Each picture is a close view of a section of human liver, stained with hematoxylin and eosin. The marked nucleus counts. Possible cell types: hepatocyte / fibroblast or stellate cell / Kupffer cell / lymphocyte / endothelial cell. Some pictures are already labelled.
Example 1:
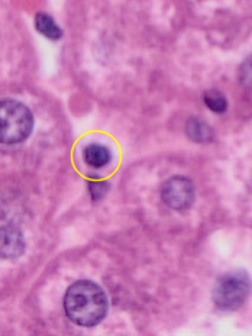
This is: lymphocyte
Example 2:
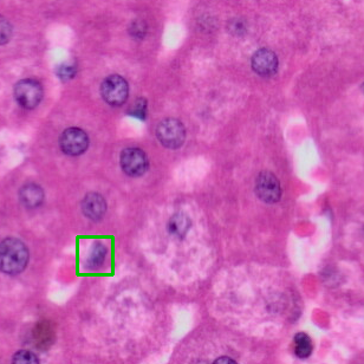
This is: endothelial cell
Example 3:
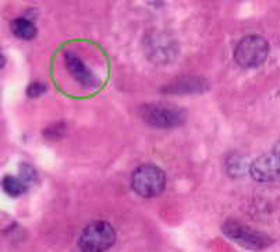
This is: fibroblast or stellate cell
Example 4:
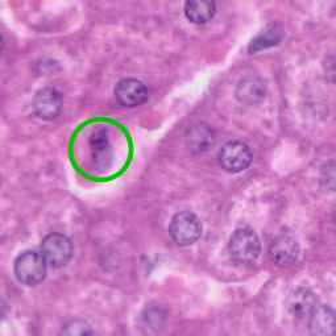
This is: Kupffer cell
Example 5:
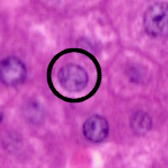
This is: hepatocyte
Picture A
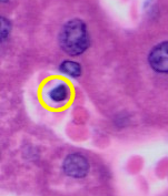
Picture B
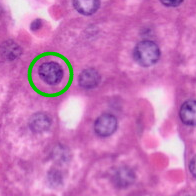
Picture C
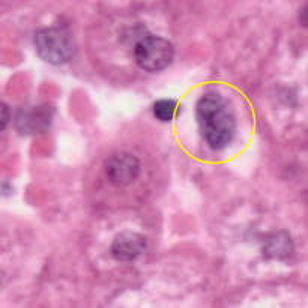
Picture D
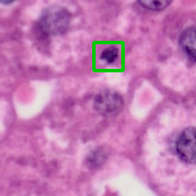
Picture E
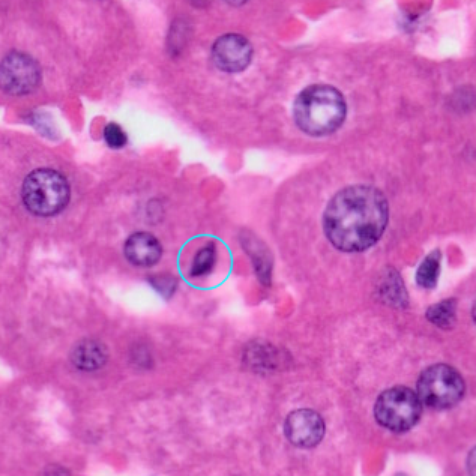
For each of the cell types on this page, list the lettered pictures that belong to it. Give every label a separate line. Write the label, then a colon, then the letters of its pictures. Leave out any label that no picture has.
hepatocyte: B
fibroblast or stellate cell: D, E
Kupffer cell: C
lymphocyte: A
